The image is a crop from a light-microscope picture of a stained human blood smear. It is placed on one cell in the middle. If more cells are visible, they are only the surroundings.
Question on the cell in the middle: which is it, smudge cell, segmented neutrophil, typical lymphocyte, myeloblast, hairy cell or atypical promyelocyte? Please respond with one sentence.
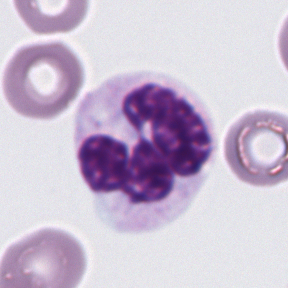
The cell occupying the middle of the crop is a segmented neutrophil.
